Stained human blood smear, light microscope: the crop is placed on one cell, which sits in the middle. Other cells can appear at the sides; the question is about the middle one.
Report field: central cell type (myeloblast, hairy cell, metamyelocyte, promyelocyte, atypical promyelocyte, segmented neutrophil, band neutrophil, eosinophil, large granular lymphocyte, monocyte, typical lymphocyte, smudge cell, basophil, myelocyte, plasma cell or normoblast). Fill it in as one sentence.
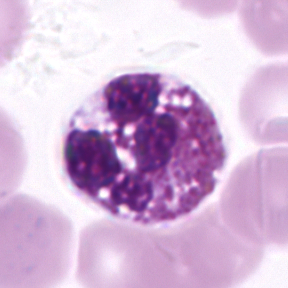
As for the central cell, it is an eosinophil.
